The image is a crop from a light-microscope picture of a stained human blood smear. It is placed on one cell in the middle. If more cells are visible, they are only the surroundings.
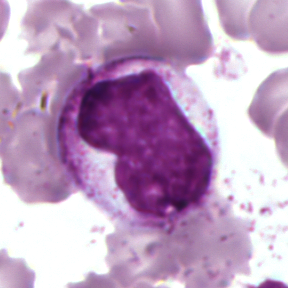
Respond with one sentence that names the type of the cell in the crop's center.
To answer, the cell in the center of the crop is a metamyelocyte.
